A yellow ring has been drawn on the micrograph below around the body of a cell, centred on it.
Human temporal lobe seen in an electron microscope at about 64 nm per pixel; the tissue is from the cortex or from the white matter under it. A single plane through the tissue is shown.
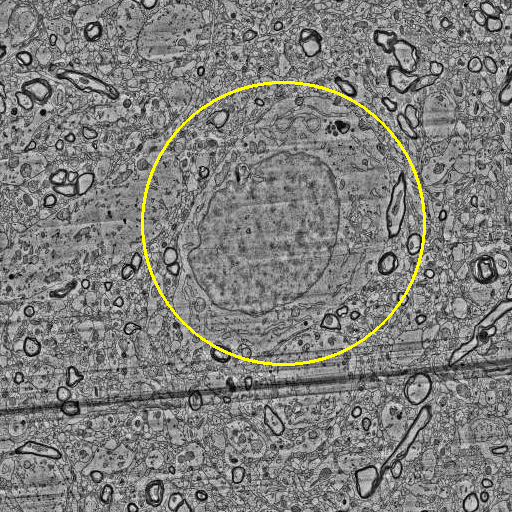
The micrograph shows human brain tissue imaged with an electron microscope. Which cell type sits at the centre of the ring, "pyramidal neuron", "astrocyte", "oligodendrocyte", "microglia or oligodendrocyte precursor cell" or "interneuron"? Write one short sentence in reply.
The cell sitting at the centre of the ring is an interneuron.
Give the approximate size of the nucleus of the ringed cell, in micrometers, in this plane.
In this plane the nucleus measures roughly 11 by 9 micrometres.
